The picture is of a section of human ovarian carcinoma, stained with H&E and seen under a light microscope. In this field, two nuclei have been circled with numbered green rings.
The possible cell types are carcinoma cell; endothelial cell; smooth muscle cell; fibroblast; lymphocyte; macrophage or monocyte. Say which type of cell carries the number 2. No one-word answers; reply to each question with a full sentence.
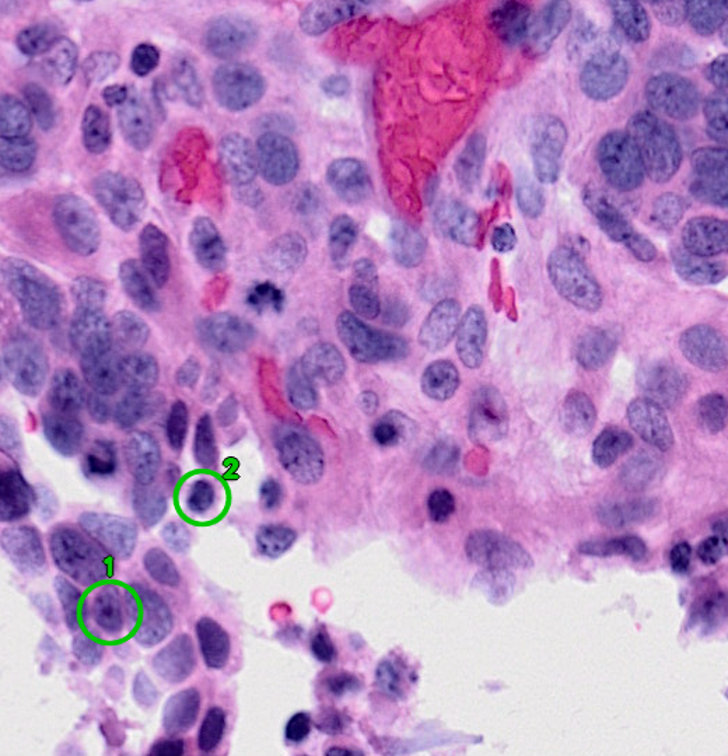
The one numbered 2 among the marked cells is a lymphocyte.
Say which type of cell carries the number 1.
The cell to which the number 1 is assigned is a carcinoma cell.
